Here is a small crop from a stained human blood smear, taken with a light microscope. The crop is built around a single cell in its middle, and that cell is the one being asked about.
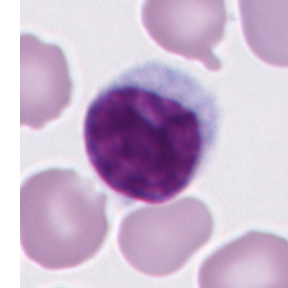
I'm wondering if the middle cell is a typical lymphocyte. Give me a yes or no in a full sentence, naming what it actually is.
No, the central cell does not count as a typical lymphocyte; it is a hairy cell.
